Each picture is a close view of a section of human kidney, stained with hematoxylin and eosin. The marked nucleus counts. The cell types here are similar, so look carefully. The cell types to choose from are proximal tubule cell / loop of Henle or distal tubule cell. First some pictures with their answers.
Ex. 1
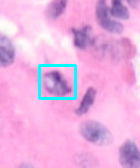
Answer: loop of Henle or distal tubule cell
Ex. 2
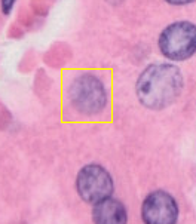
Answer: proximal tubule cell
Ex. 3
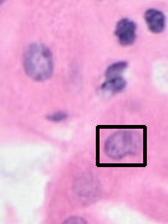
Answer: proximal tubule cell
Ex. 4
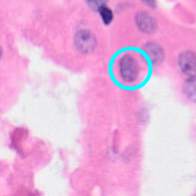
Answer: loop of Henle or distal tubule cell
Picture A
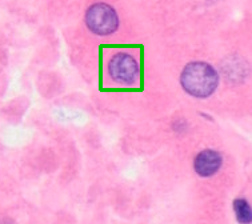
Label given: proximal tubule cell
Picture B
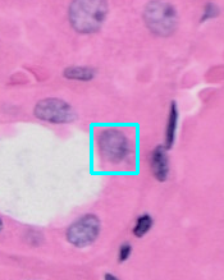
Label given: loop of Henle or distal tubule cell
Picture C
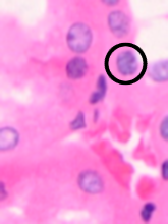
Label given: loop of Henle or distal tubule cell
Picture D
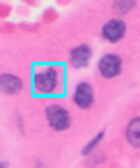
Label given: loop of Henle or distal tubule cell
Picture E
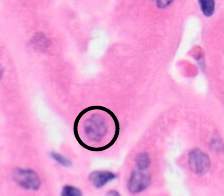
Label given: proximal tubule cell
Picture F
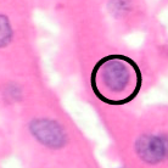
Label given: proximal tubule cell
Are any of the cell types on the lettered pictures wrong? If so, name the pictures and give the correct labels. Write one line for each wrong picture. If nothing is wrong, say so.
All labels are correct.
